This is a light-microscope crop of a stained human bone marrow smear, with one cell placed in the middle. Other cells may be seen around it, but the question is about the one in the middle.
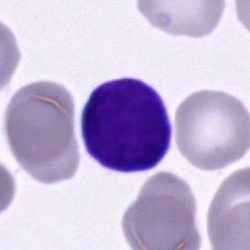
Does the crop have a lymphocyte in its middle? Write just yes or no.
yes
